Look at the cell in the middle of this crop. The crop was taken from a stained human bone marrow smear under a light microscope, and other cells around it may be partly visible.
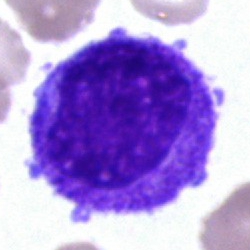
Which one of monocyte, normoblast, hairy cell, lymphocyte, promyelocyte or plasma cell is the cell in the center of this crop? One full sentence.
The cell in the exact centre of the crop is a promyelocyte.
